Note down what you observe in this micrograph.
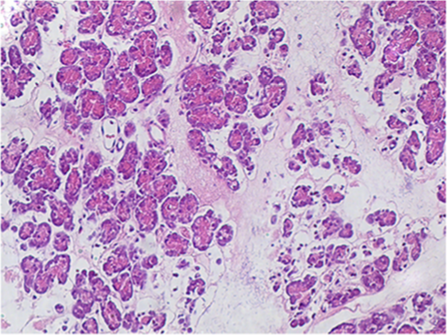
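This is exocrine pancreas in which groups of acinar cells are broken apart by a widened, pale interstitium. Clusters of acini remain, with purple-staining cells and dark nuclei, but many appear fragmented, irregular and loosely scattered rather than tightly packed. Between the groups lie broad pale areas containing faint pink, wispy material, most extensive through the centre of the field, consistent with edema. Scattered small dark nuclei and debris lie in these spaces. Compared with intact pancreas, the regular lobular architecture is disrupted and the acini are separated by far larger gaps.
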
